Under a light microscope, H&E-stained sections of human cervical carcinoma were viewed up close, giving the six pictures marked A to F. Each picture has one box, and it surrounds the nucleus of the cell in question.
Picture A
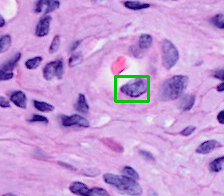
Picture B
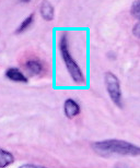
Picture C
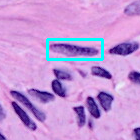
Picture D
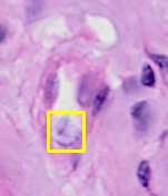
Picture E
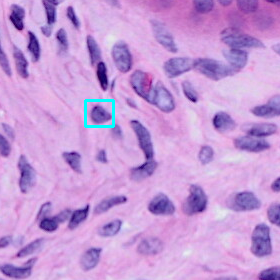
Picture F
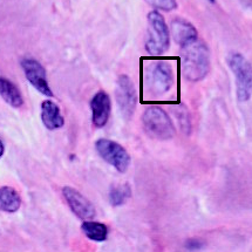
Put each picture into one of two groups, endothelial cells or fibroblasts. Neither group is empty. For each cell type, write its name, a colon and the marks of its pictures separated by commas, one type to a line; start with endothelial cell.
endothelial cell: A, D, F
fibroblast: B, C, E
